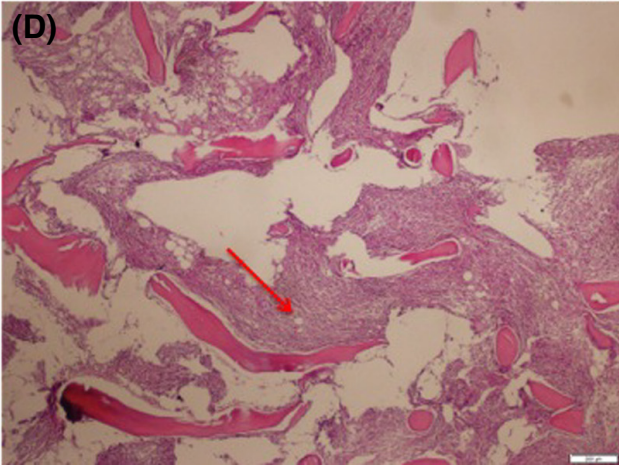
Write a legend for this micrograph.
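This is a bone marrow biopsy in which bright pink trabeculae of bone are scattered as elongated and rounded fragments across the field. Between them, instead of a loose mixture of marrow and fat, lie strands and sheets of densely packed, purple-staining cells with small nuclei, forming a diffuse infiltrate that runs along and between the trabeculae. Large empty white spaces separate the tissue fragments. In places the cellular infiltrate lies directly against the bony surfaces.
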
